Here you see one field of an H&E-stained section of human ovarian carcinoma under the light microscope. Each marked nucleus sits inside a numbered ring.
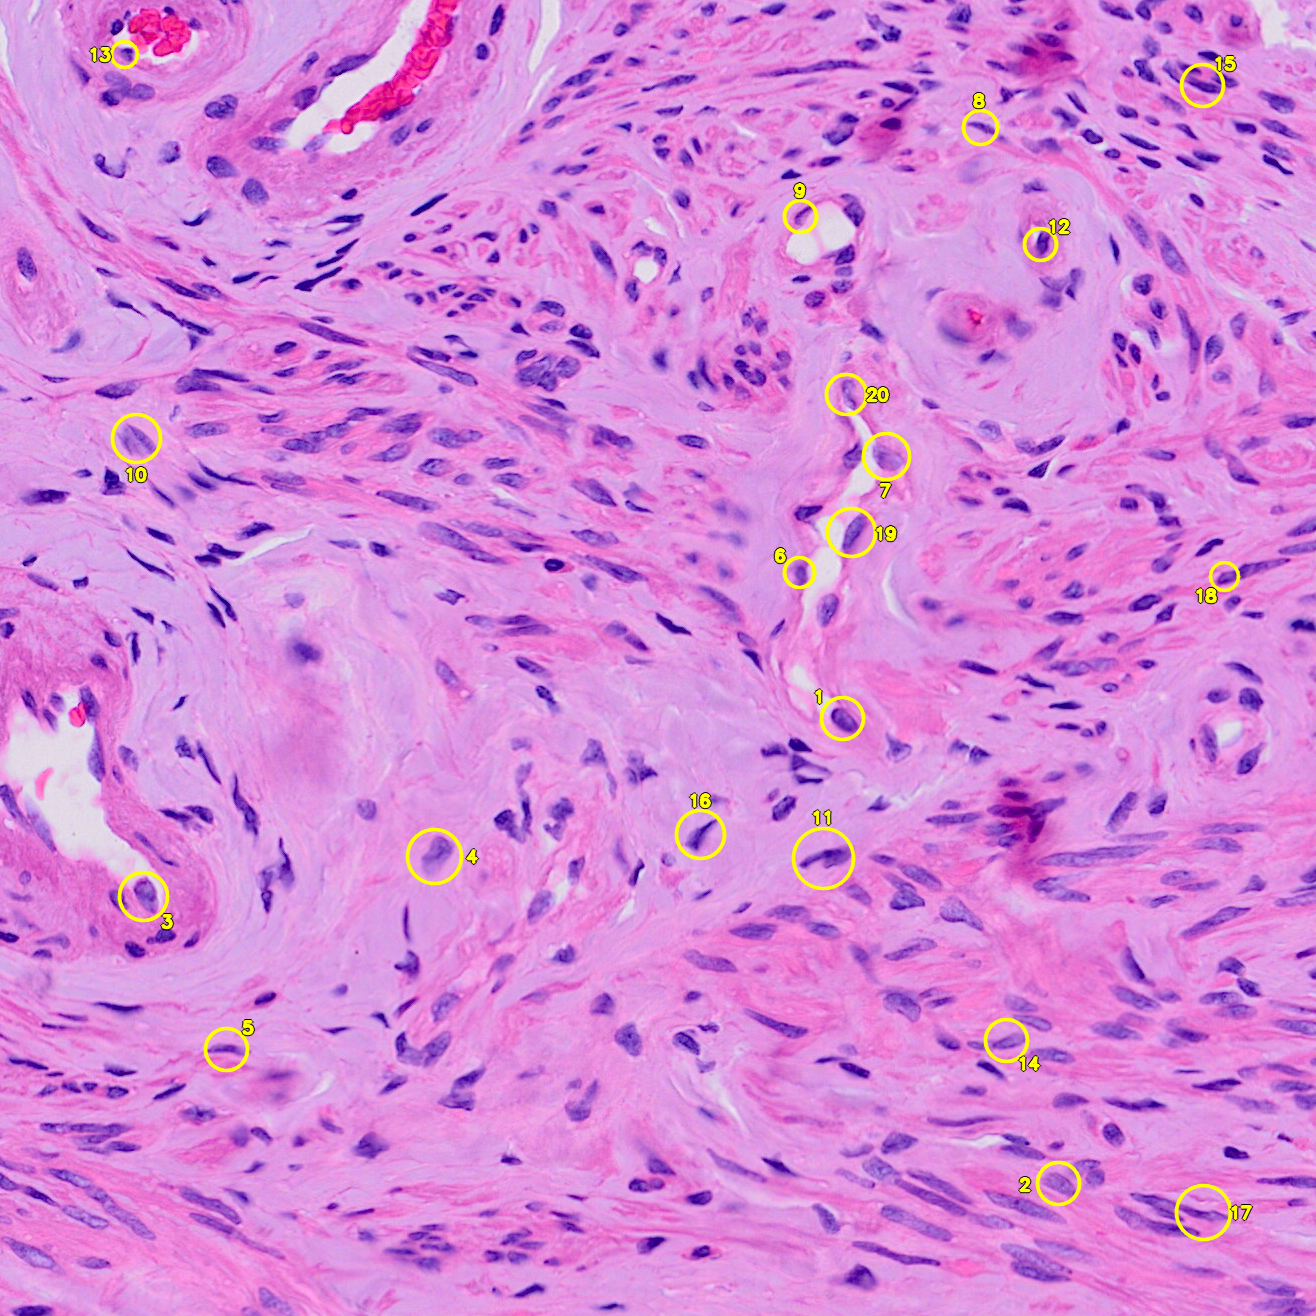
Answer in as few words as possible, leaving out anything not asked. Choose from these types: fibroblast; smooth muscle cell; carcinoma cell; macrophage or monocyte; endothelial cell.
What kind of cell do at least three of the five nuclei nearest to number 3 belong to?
smooth muscle cell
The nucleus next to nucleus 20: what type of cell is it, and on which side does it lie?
an endothelial cell; below nucleus 20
